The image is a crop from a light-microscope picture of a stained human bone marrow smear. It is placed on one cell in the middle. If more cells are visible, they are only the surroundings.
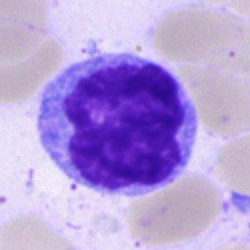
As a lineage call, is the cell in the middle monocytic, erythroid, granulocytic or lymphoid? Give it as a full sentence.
The centered cell should be recorded as belonging to the monocytic lineage.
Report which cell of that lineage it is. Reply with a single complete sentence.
As for the central cell, it is a monocyte.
